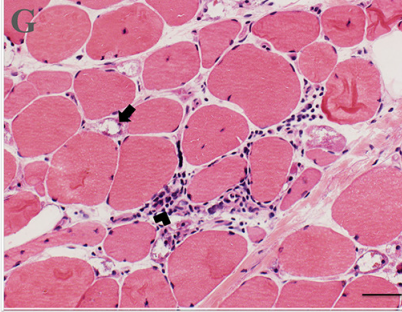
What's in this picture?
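This skeletal muscle cross-section shows pink muscle fibers of varied size, some large and rounded, others small and angular. Between the fibers in the lower middle lies a cluster of small round cells with dark nuclei, a mild inflammatory reaction in the endomysium. Several fibers contain small clear vacuoles, one pointed out above the cluster.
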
